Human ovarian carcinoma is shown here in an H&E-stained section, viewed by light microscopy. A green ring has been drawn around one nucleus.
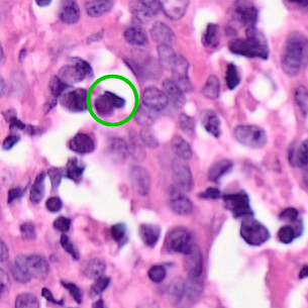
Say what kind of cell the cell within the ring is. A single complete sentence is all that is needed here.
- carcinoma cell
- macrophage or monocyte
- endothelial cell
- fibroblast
Within the stained tissue, the cell within the ring is a carcinoma cell.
